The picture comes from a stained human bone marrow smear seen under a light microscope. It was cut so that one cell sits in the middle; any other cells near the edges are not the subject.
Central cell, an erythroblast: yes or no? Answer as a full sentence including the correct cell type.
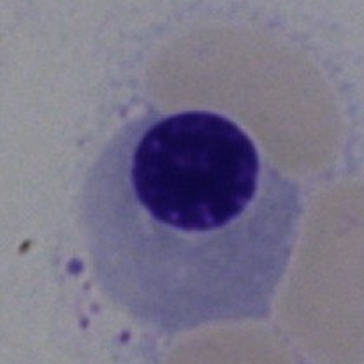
Yes, the middle cell is properly termed an erythroblast.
